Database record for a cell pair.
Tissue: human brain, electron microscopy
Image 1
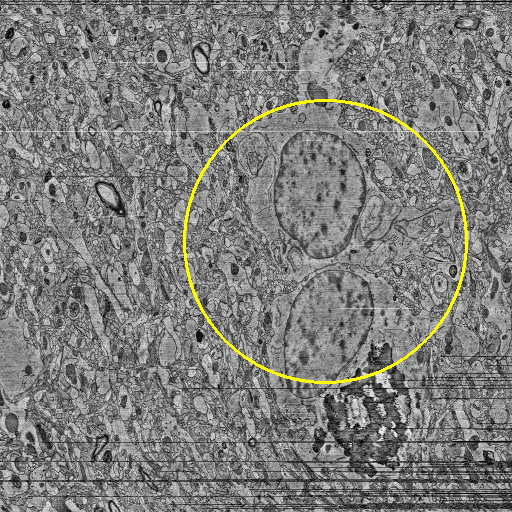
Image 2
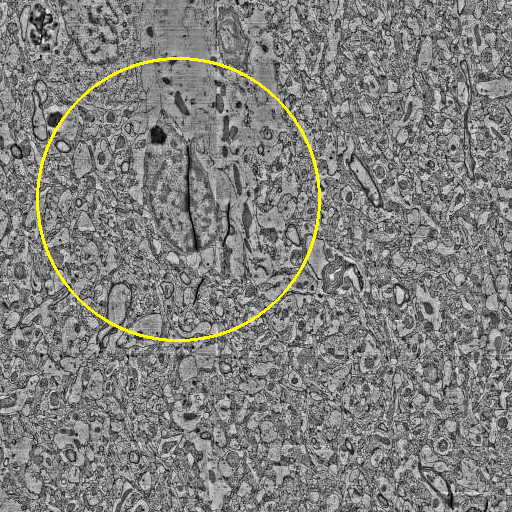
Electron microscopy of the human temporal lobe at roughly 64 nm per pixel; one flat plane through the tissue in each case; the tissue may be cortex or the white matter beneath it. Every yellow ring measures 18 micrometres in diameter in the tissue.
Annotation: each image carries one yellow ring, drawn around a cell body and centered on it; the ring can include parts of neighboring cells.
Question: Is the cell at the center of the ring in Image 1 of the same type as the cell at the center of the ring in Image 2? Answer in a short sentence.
No, the cells are of two types.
